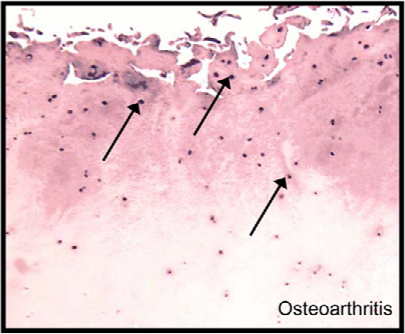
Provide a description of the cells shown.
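This section of articular cartilage shows scattered chondrocytes lying in a wide, pale pink matrix. The surface at the top is rough and broken into fissures and loose flaps, and the matrix beneath it has a patchy purplish tinge. Many chondrocytes in the upper part carry dark purple-blue staining, some lying singly and some in small groups. Deeper down the matrix becomes paler and the cells are fewer, appearing as small dark dots in their spaces.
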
